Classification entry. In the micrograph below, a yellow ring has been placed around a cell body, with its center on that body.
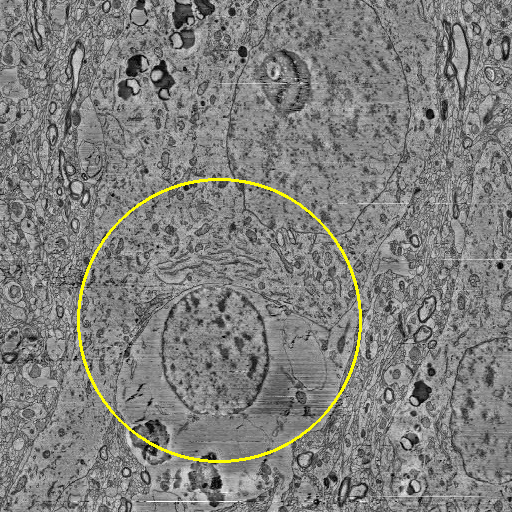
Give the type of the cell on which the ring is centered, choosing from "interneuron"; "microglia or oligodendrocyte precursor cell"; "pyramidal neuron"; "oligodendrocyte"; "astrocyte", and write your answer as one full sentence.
The cell body at the center of the yellow ring belongs to an astrocyte.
